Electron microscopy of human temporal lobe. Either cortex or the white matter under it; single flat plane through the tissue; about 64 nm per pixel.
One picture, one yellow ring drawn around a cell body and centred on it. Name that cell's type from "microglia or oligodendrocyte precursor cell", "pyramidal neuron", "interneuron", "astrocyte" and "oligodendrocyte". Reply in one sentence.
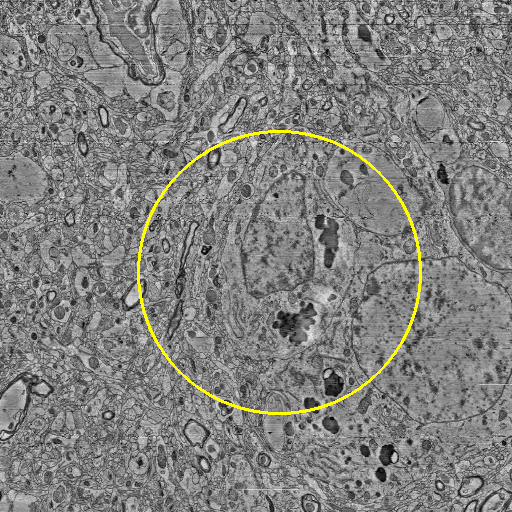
Centred in the ring is an interneuron.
